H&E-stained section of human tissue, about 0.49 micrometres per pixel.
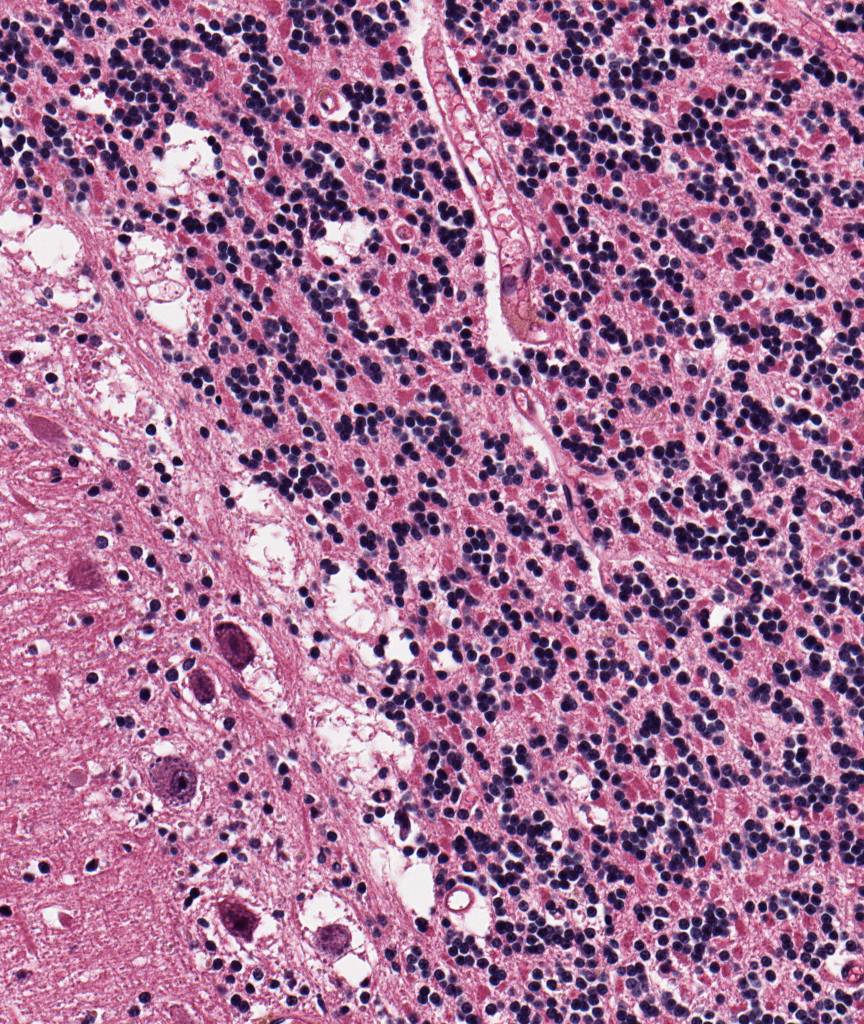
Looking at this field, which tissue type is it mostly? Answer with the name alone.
granular layer of the cerebellum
